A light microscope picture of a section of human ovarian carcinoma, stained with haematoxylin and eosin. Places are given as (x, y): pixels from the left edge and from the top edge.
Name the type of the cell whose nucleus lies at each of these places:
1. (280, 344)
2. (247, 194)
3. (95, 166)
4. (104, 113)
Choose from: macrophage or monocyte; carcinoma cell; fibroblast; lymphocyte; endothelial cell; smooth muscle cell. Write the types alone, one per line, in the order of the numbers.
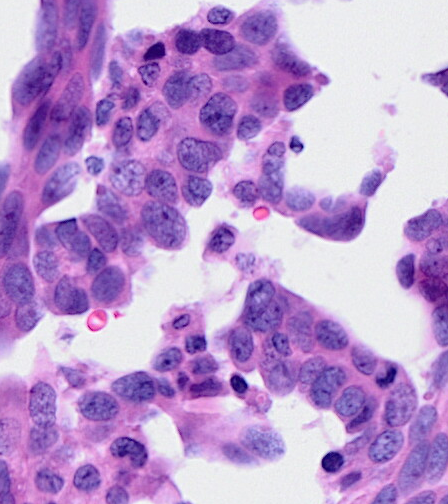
macrophage or monocyte
macrophage or monocyte
lymphocyte
macrophage or monocyte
